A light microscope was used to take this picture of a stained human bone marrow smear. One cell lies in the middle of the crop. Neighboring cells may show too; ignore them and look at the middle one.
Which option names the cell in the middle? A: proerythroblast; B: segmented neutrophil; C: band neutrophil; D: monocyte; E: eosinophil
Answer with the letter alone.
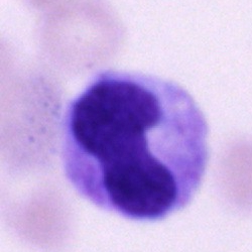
C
